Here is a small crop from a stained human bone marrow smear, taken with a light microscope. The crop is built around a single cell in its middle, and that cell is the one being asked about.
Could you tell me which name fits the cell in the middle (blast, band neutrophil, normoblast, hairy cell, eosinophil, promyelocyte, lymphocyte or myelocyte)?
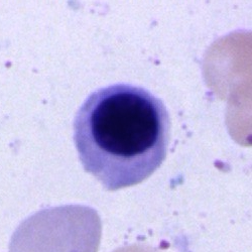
normoblast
